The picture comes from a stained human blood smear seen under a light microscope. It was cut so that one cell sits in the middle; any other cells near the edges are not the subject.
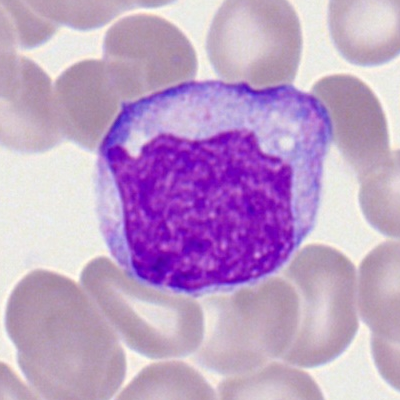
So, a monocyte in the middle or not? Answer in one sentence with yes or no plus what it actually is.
Yes, the cell at the very centre of the crop is a monocyte.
